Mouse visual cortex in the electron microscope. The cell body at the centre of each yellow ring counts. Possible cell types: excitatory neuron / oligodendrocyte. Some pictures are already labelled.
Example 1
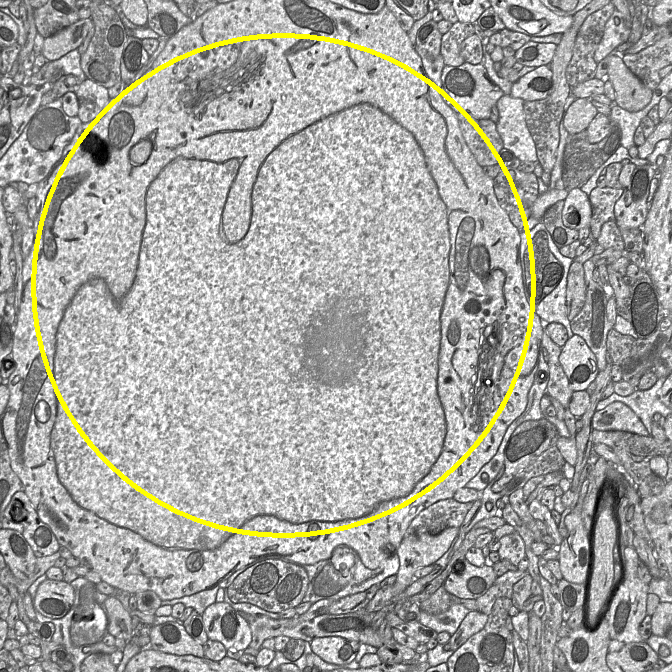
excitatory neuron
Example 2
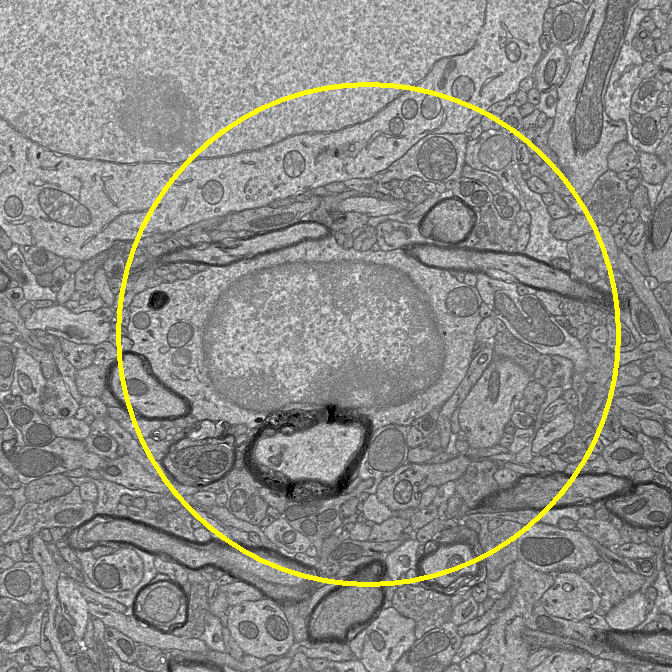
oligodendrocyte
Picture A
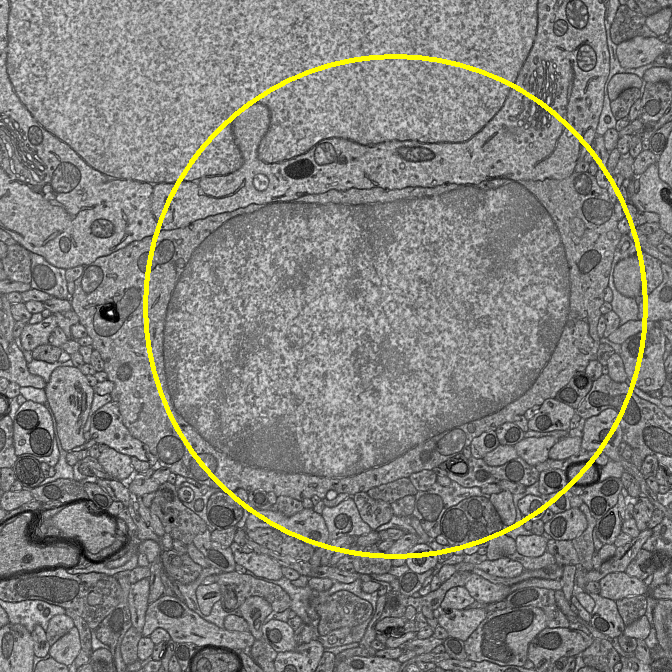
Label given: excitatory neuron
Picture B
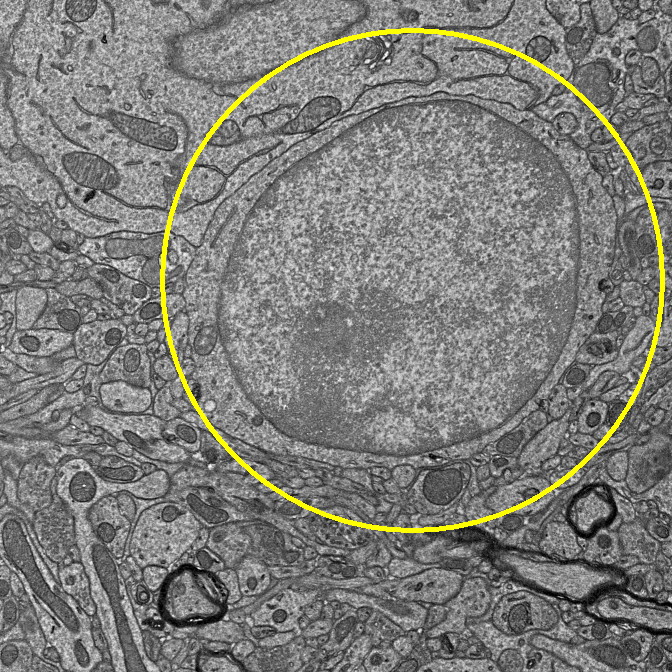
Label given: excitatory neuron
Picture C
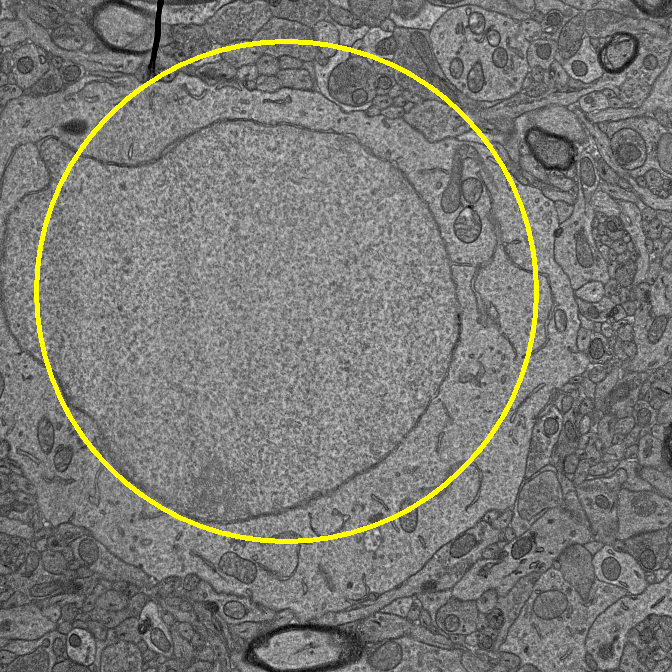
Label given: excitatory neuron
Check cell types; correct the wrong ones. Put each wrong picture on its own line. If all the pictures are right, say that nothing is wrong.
A: oligodendrocyte, not excitatory neuron
B: oligodendrocyte, not excitatory neuron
